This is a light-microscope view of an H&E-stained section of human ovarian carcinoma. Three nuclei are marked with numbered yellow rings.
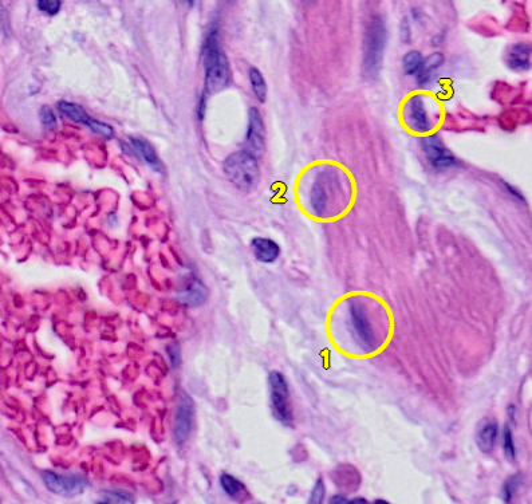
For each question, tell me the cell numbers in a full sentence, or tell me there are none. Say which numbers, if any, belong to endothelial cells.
The nucleus labelled 3 alone belongs to an endothelial cell; the other marked nuclei do not.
